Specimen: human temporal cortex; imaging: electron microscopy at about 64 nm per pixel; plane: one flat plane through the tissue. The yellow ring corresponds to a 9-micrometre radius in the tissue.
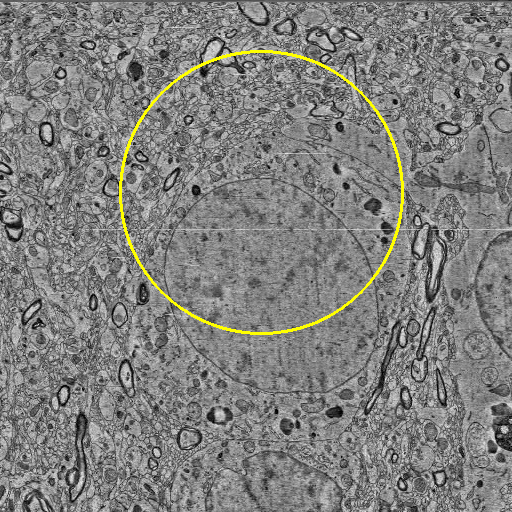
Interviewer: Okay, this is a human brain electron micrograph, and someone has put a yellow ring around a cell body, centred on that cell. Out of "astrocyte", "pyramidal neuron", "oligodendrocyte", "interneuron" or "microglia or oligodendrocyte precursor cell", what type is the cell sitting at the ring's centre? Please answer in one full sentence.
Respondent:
The cell at the centre of the yellow ring in this picture is a pyramidal neuron.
